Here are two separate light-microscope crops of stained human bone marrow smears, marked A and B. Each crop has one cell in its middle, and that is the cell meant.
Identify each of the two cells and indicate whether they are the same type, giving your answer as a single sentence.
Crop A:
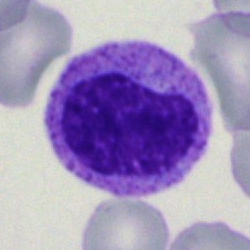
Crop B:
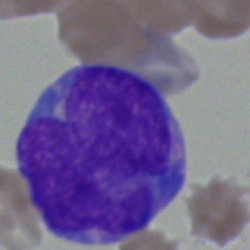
No, a myelocyte is depicted by crop A, a blast by crop B.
